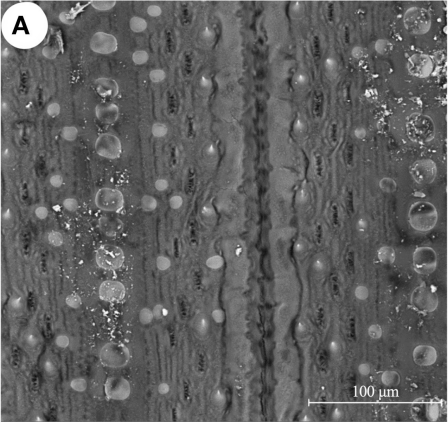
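This scanning electron view of a grass leaf surface shows the epidermis in parallel longitudinal files separated by a prominent central furrow. Numerous small stomata appear as short dark slits arranged in rows along the files. Fine granular debris lies on parts of the surface.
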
